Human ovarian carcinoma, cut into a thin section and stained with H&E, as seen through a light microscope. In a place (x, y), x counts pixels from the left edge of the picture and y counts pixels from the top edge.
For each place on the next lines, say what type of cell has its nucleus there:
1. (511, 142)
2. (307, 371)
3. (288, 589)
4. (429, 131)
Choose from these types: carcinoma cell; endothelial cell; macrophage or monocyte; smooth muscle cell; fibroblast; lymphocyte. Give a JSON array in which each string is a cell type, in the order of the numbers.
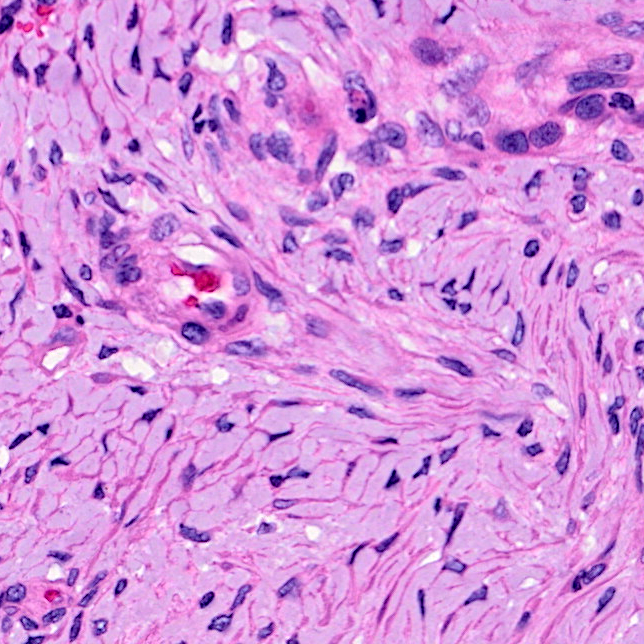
["carcinoma cell", "fibroblast", "fibroblast", "fibroblast"]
